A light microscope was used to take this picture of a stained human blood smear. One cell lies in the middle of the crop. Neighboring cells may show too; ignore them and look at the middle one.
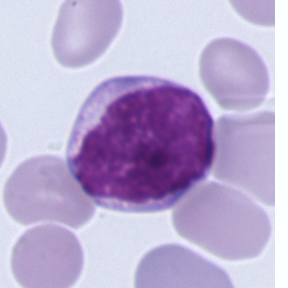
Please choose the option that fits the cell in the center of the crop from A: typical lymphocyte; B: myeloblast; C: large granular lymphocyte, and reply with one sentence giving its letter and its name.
Here the right option is C, as the cell in the middle is a large granular lymphocyte.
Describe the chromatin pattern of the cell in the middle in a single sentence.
The chromatin within its nucleus forms coarse clumps.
